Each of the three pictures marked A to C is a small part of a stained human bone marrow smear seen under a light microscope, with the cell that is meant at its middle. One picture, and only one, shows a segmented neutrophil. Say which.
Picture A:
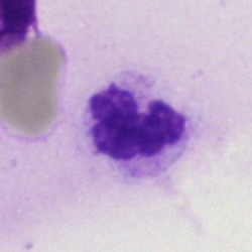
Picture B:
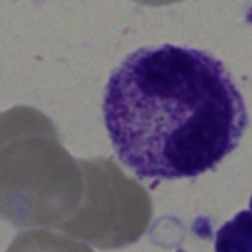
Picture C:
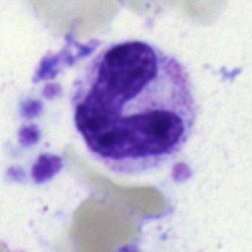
A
